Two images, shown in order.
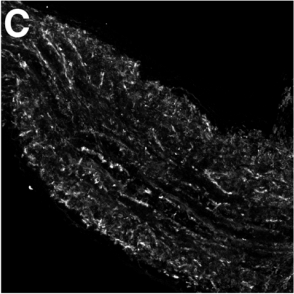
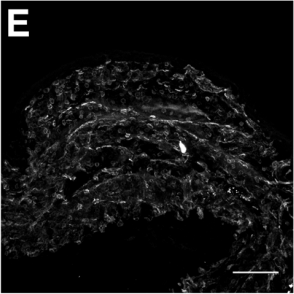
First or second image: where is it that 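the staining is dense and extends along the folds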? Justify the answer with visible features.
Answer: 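The first image. Second image: staining is sparser, in scattered discrete streaks and spots. First image: bright staining densely lines many parallel ridges.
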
